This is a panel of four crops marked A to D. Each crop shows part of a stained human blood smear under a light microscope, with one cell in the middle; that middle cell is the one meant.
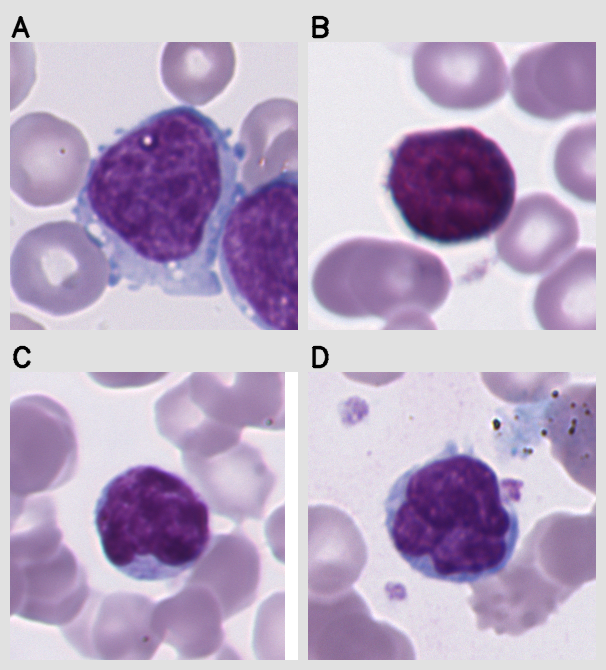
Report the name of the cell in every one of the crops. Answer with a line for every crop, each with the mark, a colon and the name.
A: myeloblast
B: myeloblast
C: typical lymphocyte
D: typical lymphocyte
